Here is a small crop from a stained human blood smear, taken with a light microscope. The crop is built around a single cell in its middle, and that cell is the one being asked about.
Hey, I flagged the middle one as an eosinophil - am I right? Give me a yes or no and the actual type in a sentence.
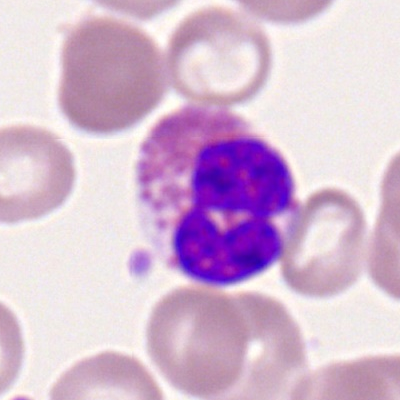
Yes, the cell at the centre of the field is an eosinophil.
